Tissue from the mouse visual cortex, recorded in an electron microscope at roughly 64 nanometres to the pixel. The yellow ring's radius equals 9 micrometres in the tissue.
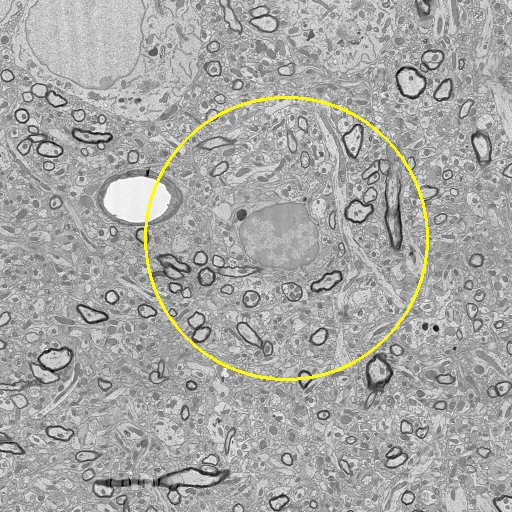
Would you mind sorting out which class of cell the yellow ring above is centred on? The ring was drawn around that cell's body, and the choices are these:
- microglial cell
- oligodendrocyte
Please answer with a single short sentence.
This is the cell body of a microglial cell.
